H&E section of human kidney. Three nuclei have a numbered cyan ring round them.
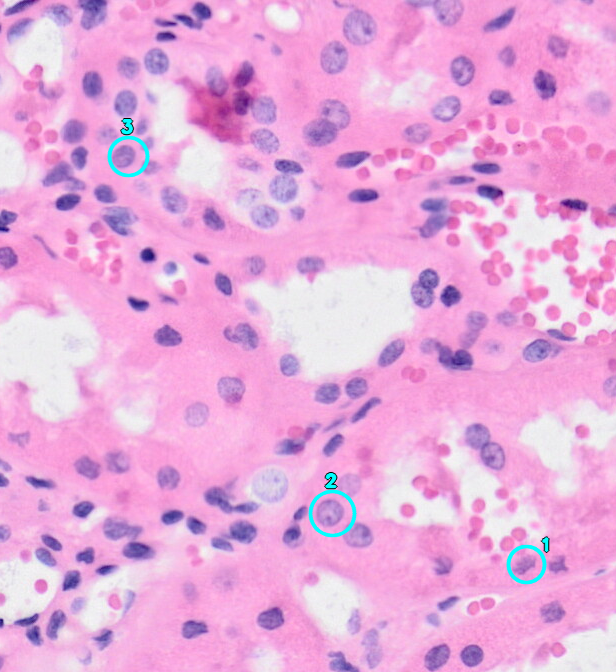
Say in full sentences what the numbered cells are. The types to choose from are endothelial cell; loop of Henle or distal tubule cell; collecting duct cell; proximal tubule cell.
Cell 1 is a proximal tubule cell, cell 2 is a proximal tubule cell and cell 3 is a collecting duct cell.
